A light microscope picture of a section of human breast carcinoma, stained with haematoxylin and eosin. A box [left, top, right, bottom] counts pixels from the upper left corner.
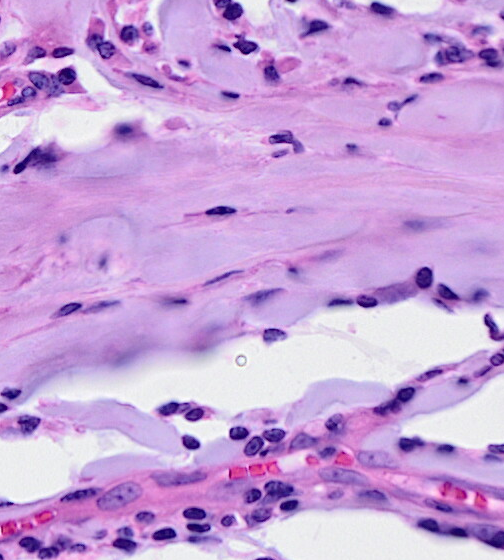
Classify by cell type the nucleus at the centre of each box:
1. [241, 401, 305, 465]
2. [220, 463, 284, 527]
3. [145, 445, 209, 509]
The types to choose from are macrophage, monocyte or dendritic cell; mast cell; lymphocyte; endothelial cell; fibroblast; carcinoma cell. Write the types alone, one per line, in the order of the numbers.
lymphocyte
lymphocyte
endothelial cell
